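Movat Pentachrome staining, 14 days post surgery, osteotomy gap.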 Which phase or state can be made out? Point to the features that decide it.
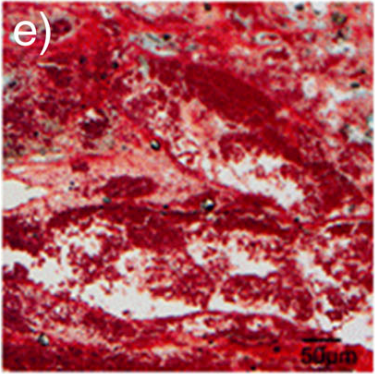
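Unorganized. Clumped dark red masses separated by irregular clefts. Almost no blue-staining matrix.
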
